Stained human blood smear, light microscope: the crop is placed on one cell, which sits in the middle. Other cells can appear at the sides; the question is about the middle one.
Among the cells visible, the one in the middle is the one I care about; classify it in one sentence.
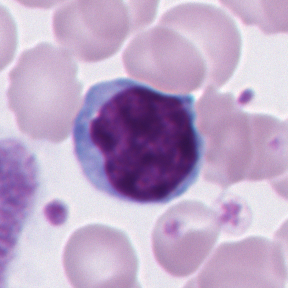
The cell at the middle of the frame should be recorded as a typical lymphocyte.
